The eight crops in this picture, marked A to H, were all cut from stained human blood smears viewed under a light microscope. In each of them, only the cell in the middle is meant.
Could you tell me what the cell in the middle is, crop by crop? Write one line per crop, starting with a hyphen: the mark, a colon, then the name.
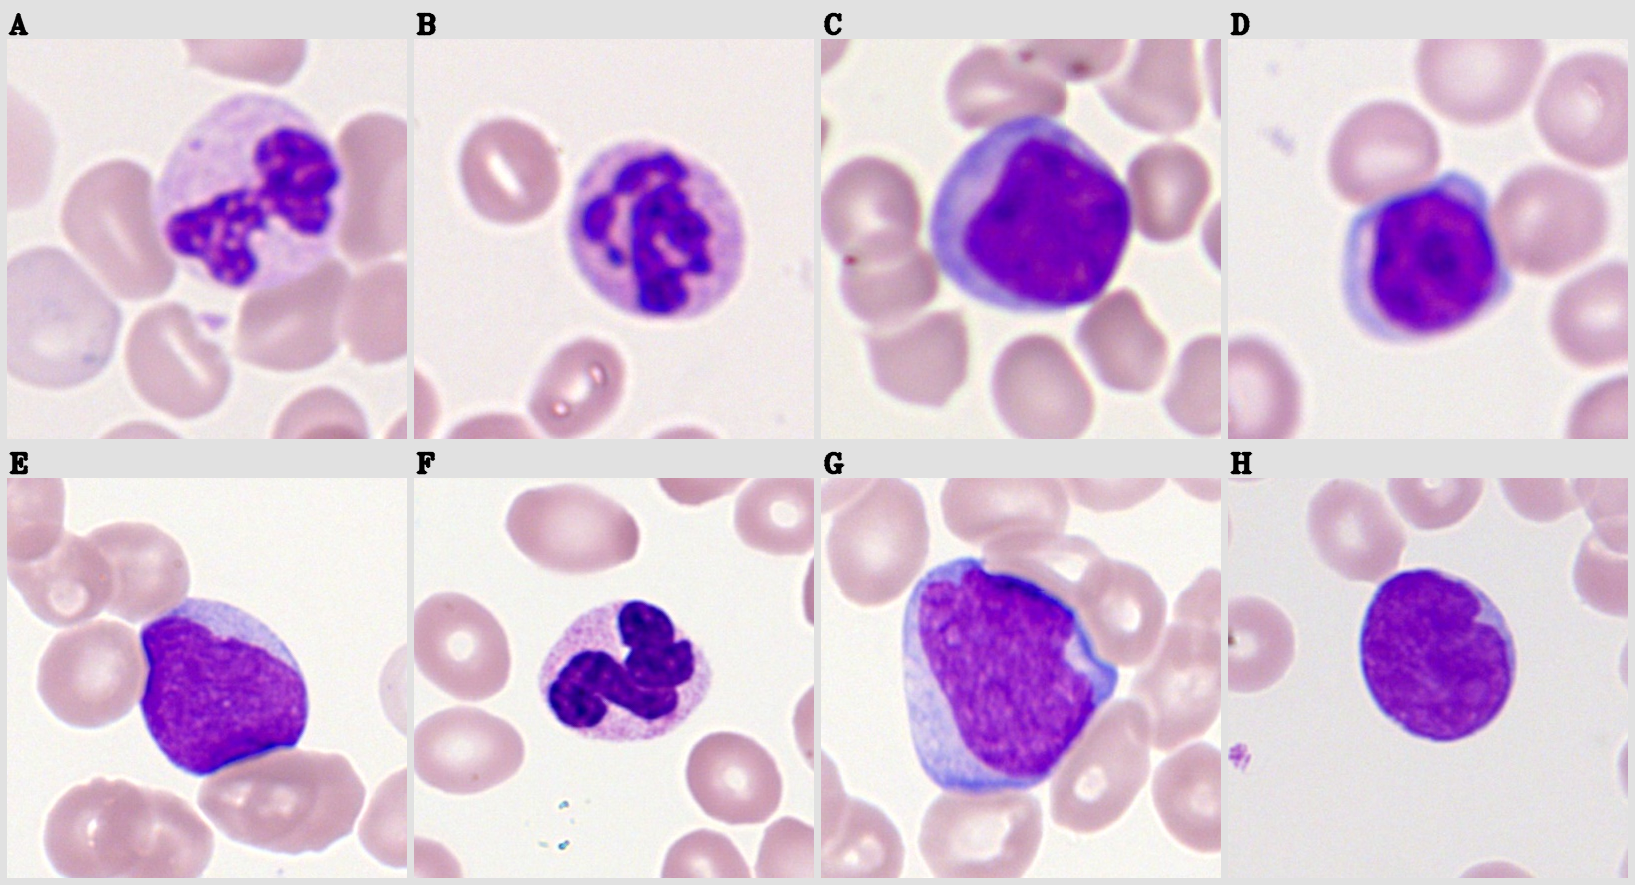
- A: segmented neutrophil
- B: segmented neutrophil
- C: myeloblast
- D: lymphocyte
- E: myeloblast
- F: segmented neutrophil
- G: myeloblast
- H: lymphocyte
